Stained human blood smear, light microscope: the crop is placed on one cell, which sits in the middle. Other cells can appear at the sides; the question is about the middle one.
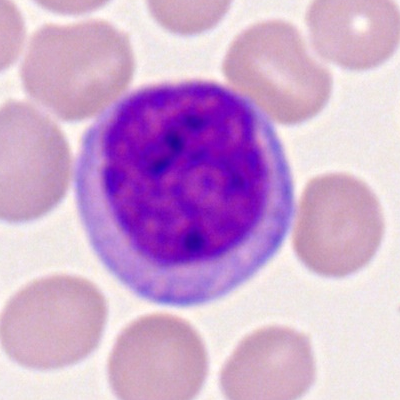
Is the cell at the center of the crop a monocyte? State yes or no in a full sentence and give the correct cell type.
Yes, a monocyte is present in the middle of the crop.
